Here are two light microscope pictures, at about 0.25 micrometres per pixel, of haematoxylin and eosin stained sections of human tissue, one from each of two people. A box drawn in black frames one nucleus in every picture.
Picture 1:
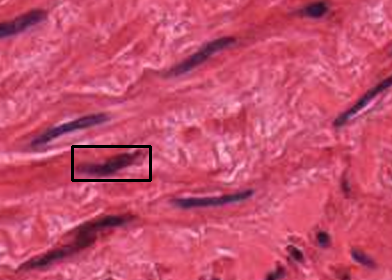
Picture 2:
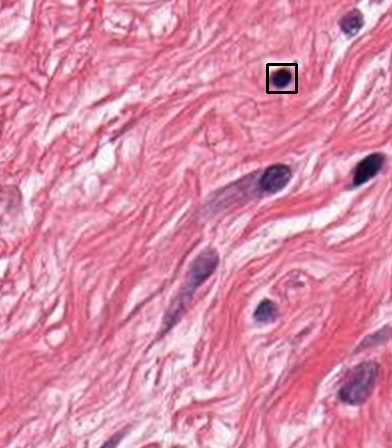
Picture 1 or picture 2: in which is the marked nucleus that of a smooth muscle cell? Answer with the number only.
1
